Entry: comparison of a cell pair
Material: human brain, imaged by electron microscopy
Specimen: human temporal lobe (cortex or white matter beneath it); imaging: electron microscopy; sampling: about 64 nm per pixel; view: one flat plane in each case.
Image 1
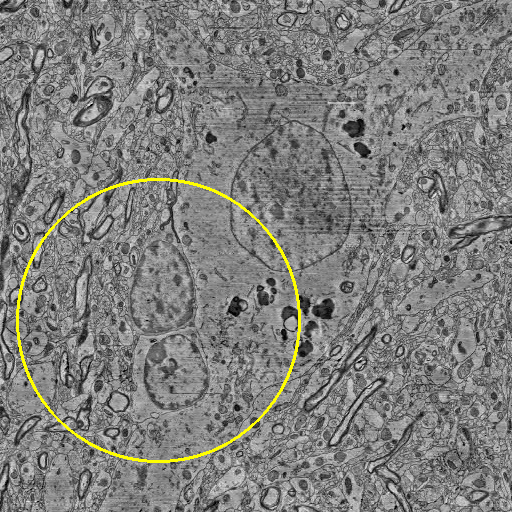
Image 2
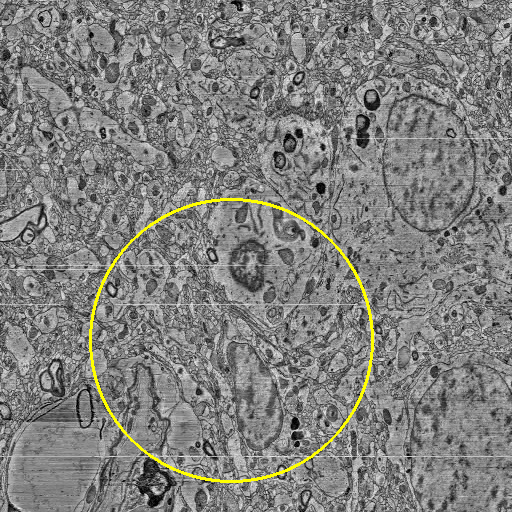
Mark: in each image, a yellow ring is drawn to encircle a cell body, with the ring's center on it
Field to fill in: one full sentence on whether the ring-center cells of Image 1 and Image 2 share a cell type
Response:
No, Image 1 and Image 2 show ring-center cells of two separate types.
